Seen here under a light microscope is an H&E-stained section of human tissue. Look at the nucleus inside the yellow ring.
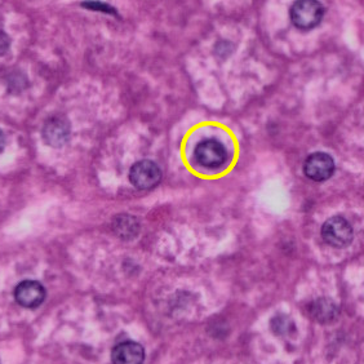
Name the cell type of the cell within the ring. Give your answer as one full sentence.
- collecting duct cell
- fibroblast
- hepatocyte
As far as its identity is concerned, the cell within the ring is a hepatocyte.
